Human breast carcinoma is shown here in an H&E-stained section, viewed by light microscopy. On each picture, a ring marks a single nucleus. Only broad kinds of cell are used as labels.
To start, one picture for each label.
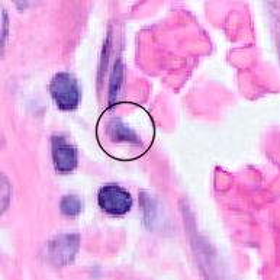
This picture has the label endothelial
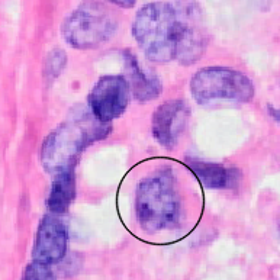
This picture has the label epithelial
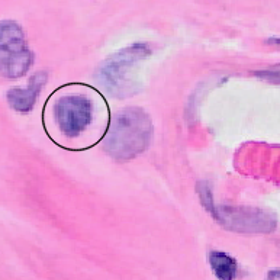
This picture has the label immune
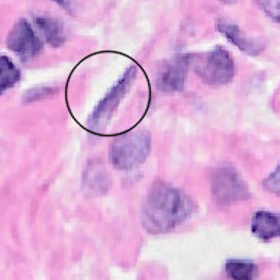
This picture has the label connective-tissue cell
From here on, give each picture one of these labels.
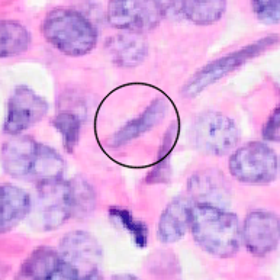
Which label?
endothelial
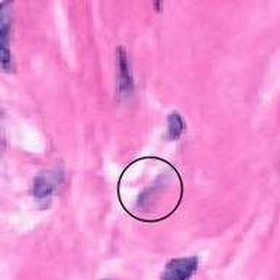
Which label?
connective-tissue cell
